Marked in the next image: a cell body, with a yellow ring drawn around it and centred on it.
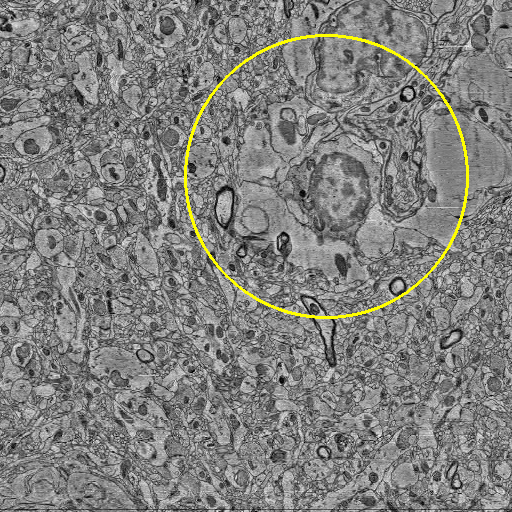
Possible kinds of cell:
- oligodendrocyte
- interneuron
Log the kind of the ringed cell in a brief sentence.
The ringed cell body is that of an oligodendrocyte.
